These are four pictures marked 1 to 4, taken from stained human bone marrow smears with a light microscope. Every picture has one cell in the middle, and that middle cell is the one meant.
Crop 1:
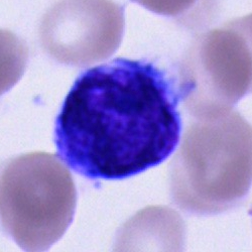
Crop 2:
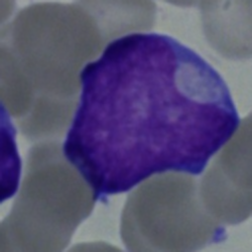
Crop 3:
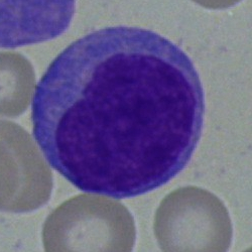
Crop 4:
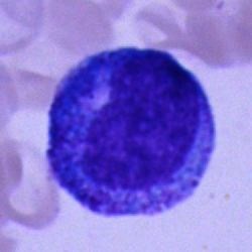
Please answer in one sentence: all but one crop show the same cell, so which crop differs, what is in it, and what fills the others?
The different one is crop 4, which is a promyelocyte; the rest all show blasts.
